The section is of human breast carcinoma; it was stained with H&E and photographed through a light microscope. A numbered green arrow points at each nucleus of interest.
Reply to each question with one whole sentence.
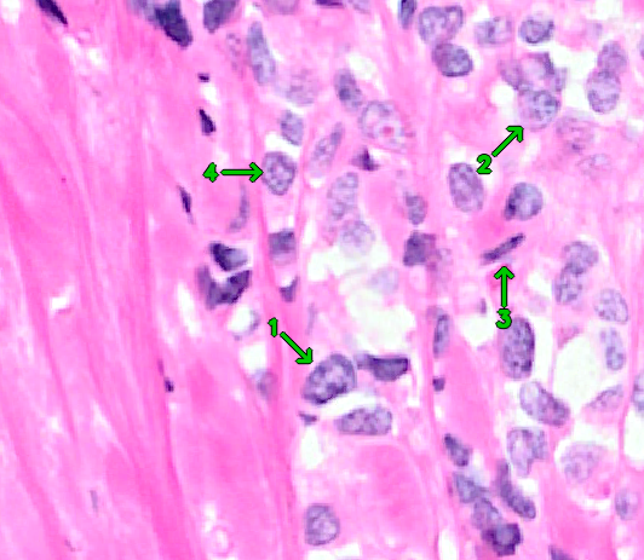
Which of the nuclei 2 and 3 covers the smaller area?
With nucleus 2 about 2.5 times its size, nucleus 3 is the smaller of the two.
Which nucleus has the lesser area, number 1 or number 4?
Nucleus 4 is the smaller one; nucleus 1 covers about 1.5 times its area.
